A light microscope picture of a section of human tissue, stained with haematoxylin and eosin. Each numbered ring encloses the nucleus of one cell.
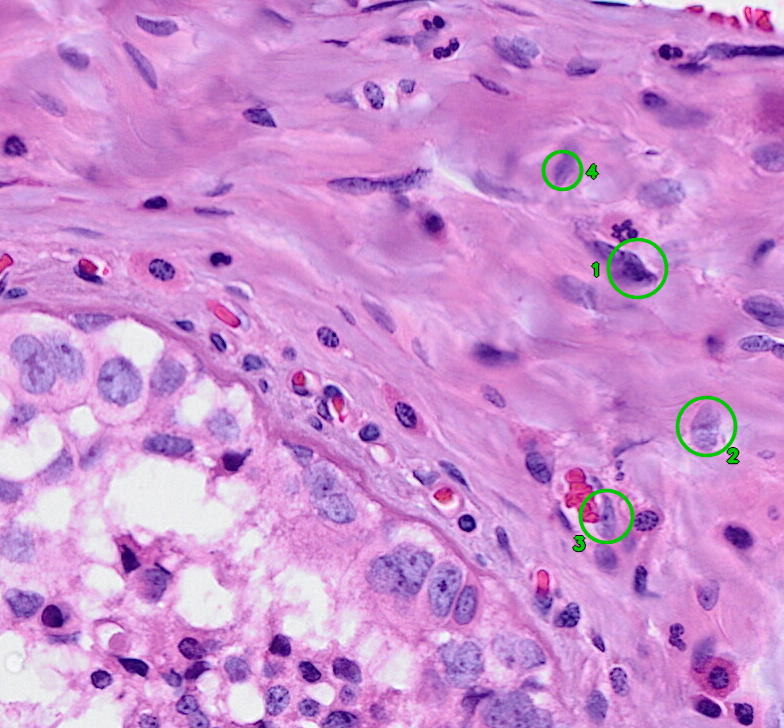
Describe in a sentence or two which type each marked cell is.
Cells 1, 2 and 4 are fibroblasts. Cell 3 is an endothelial cell.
